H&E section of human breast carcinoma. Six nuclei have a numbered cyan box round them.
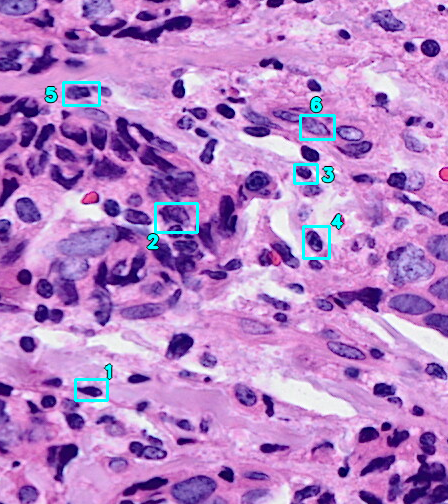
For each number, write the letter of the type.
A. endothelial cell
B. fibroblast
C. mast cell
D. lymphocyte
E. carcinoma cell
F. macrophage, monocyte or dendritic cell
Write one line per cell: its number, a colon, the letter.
1: D
2: E
3: D
4: D
5: D
6: A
